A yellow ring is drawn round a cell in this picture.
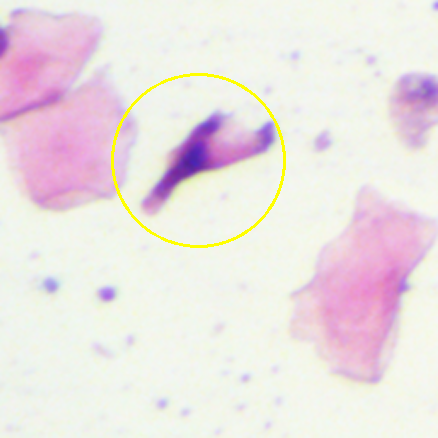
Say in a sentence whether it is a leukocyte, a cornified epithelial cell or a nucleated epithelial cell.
The cell in the ring is a nucleated epithelial cell.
